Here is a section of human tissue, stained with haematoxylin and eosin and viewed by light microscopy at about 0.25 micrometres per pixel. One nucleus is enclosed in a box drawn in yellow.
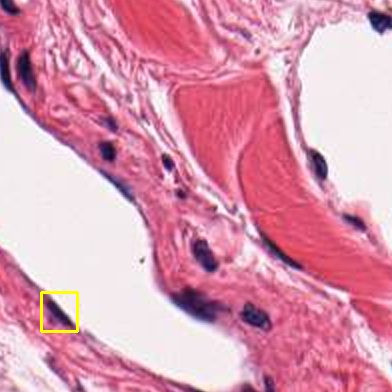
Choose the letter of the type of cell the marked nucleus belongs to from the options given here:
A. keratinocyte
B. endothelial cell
B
